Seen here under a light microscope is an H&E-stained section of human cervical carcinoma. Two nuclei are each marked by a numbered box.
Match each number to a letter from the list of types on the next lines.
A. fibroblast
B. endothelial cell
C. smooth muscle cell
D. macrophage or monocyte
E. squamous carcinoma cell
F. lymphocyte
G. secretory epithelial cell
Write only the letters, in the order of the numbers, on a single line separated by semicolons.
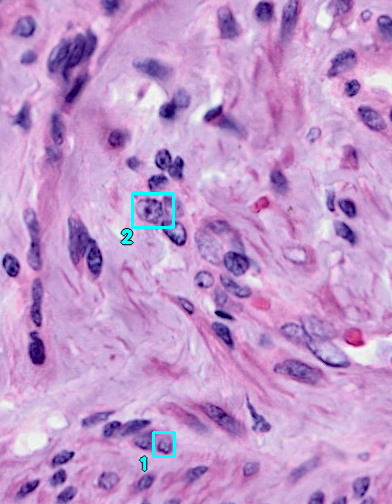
C; B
